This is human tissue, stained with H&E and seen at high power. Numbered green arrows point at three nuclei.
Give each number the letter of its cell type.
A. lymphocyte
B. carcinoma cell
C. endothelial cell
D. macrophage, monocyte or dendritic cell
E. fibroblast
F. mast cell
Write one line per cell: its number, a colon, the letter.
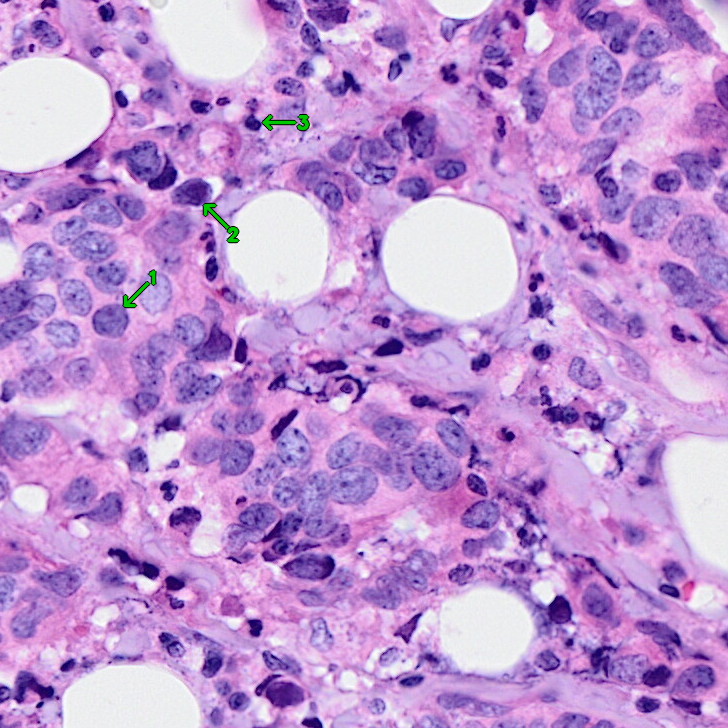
1: B
2: B
3: A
